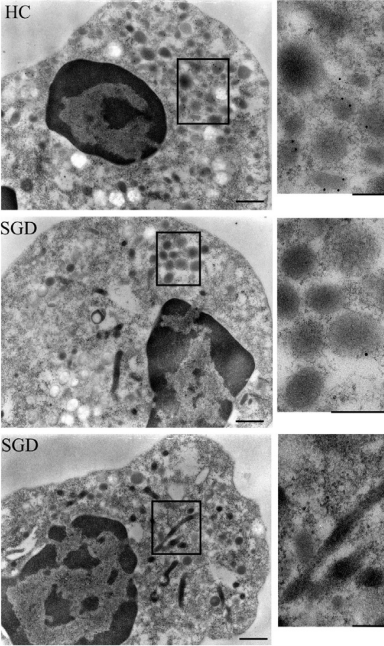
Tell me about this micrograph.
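These are transmission electron micrographs of neutrophils, each with a dense, irregular or lobed nucleus with peripheral heterochromatin and a cytoplasm crowded with membrane-bound granules. In the upper cell the granules are rounded, of moderate density and spread through the cytoplasm, with tiny dark gold particles over some of them in the enlargement. In the middle cell round granules lie packed together in a cluster, and in the lowest cell long, narrow, dark sac-like profiles lie among the round granules. The enlarged boxed areas on the right show these granule forms at higher magnification.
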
